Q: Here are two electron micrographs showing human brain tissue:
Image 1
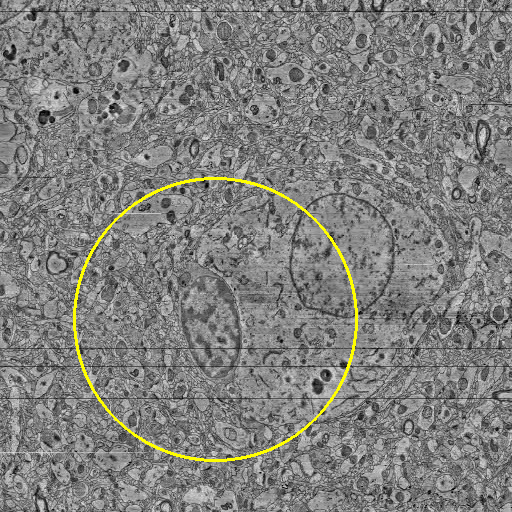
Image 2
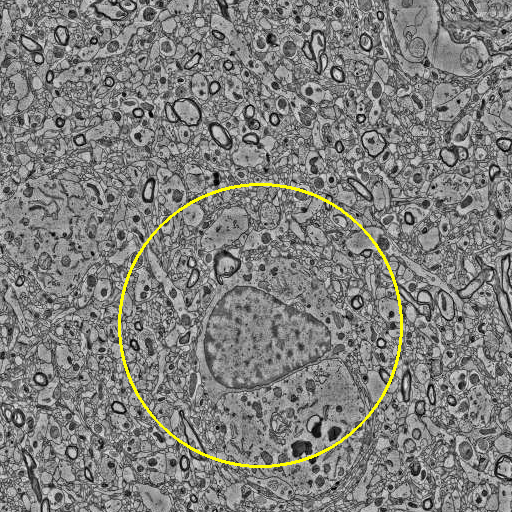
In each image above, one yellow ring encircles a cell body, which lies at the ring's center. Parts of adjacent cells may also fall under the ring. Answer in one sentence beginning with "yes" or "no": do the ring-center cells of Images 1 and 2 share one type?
Yes, in Images 1 and 2, the ring-center cells are both of one type.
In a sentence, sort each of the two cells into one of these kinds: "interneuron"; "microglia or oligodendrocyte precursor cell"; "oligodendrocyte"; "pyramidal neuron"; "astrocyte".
The ring centre holds an oligodendrocyte in each of the two pictures.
